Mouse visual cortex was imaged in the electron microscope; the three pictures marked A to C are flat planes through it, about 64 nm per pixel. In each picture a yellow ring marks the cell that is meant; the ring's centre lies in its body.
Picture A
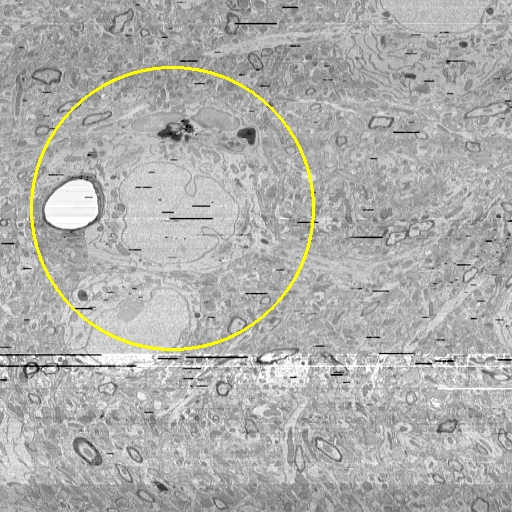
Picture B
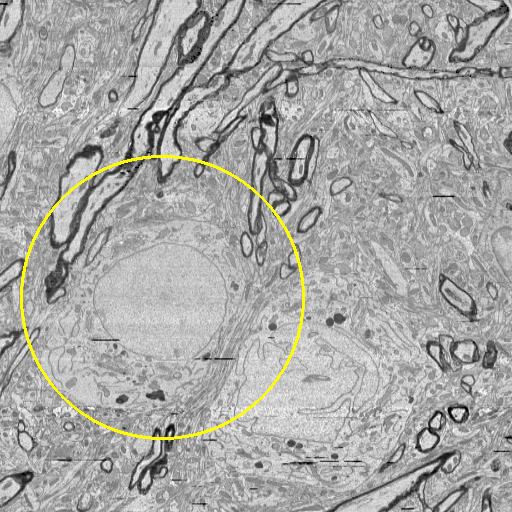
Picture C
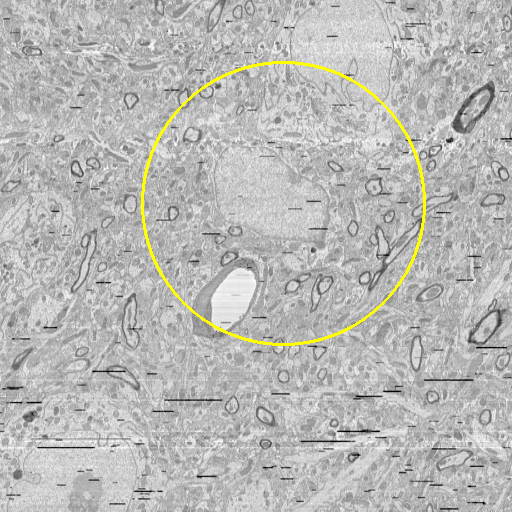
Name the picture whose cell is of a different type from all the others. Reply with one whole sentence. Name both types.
All pictures except C show excitatory neurons; picture C shows an astrocyte.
